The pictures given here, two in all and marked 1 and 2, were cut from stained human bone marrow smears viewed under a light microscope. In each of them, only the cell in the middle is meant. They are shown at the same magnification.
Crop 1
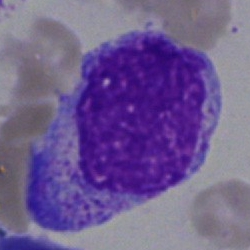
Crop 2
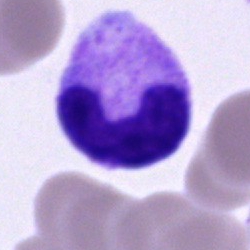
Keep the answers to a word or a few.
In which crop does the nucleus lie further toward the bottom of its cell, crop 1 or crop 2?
2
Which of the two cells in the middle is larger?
1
